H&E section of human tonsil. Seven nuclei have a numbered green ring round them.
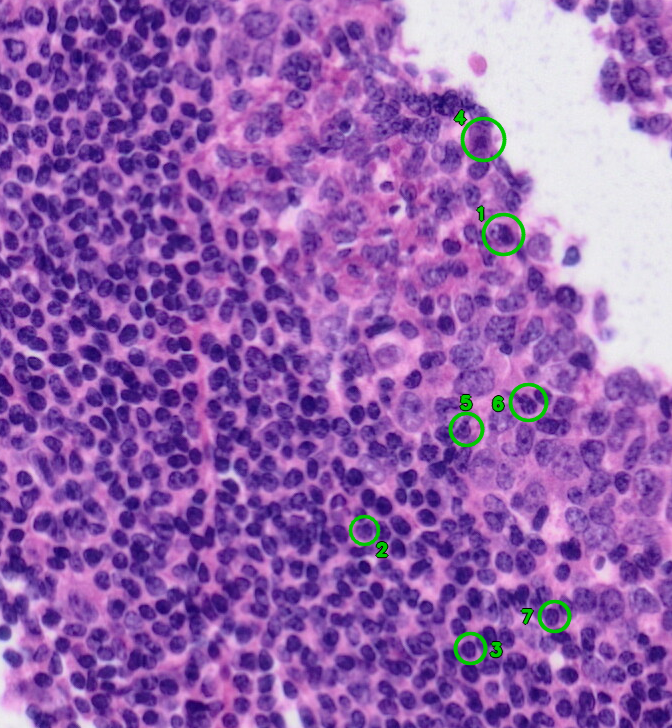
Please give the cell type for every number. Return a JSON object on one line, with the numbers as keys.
{"1": "proliferating B cell", "2": "small lymphocyte", "3": "small lymphocyte", "4": "proliferating B cell", "5": "proliferating B cell", "6": "proliferating B cell", "7": "small lymphocyte"}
